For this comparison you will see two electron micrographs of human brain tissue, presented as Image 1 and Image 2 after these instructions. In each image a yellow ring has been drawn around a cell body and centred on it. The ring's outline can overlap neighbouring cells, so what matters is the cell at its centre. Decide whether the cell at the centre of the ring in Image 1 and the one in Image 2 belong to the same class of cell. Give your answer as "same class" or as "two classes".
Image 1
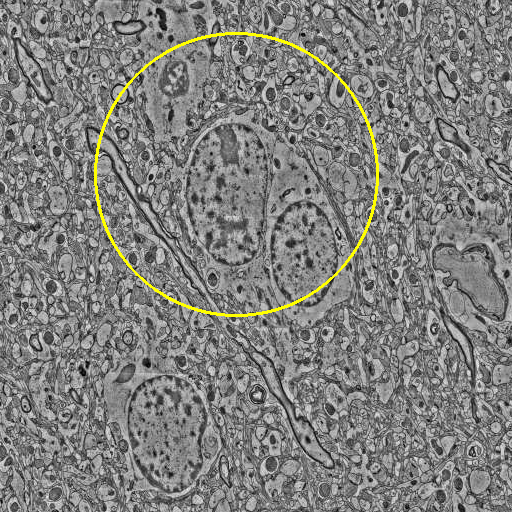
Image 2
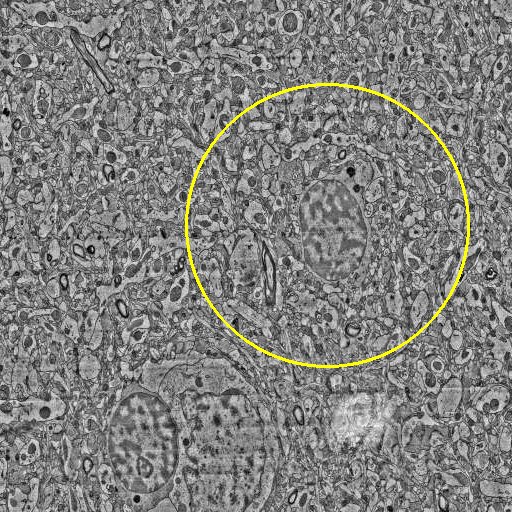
two classes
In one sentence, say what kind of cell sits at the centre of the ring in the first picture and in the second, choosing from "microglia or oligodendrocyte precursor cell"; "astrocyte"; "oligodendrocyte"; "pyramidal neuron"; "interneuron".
The first picture's ringed cell is an astrocyte, while the second picture's is an oligodendrocyte.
